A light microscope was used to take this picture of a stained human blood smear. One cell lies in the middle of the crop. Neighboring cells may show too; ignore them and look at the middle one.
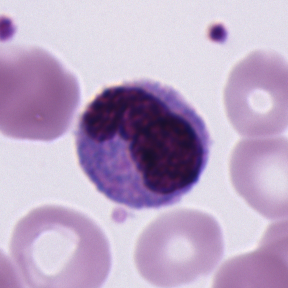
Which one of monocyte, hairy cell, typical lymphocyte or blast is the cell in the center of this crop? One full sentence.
The middle of this crop is occupied by a monocyte.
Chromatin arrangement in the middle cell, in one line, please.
Its nuclear chromatin is gathered into coarse clumps.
